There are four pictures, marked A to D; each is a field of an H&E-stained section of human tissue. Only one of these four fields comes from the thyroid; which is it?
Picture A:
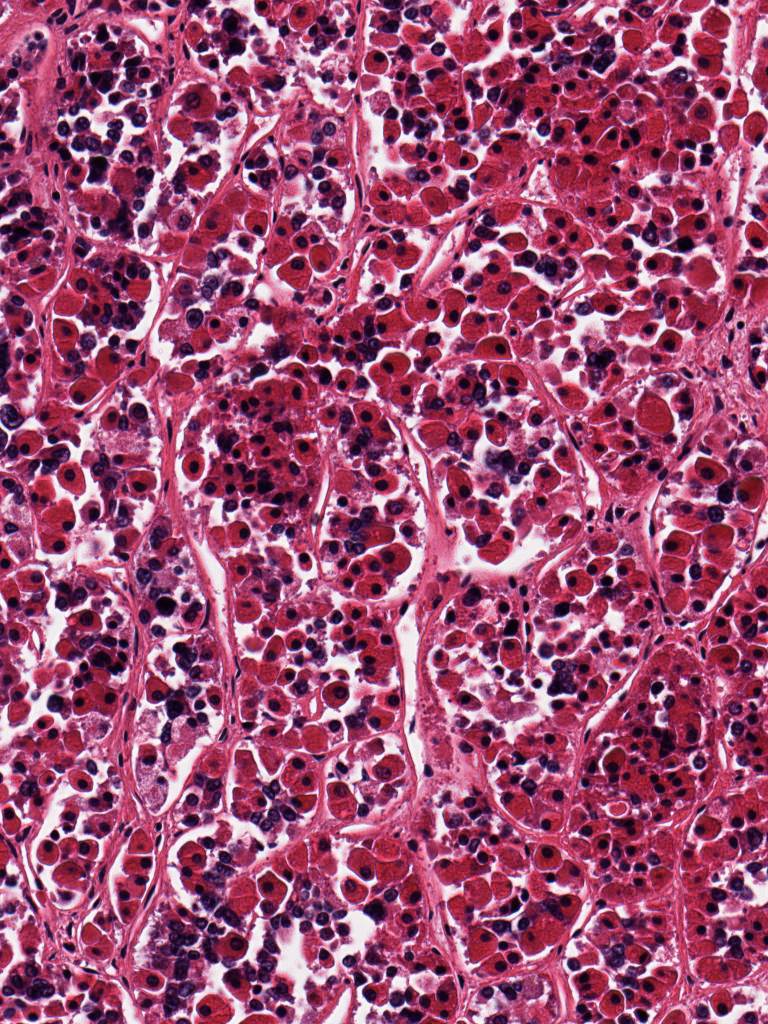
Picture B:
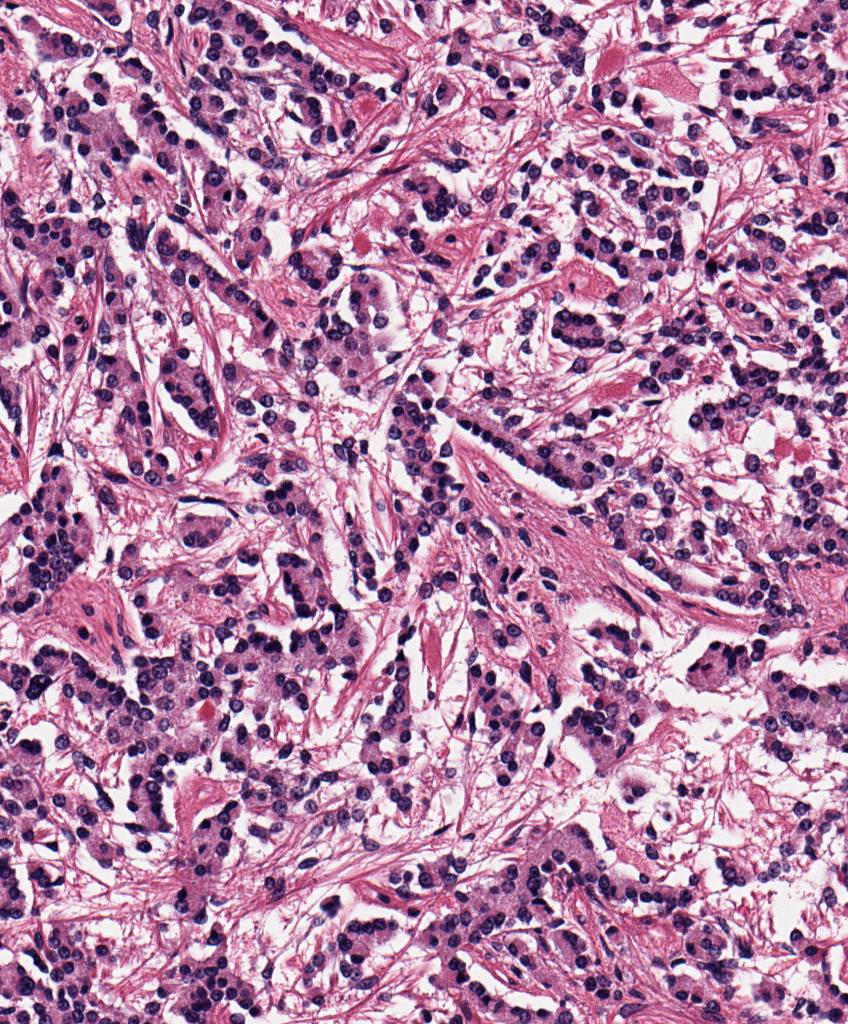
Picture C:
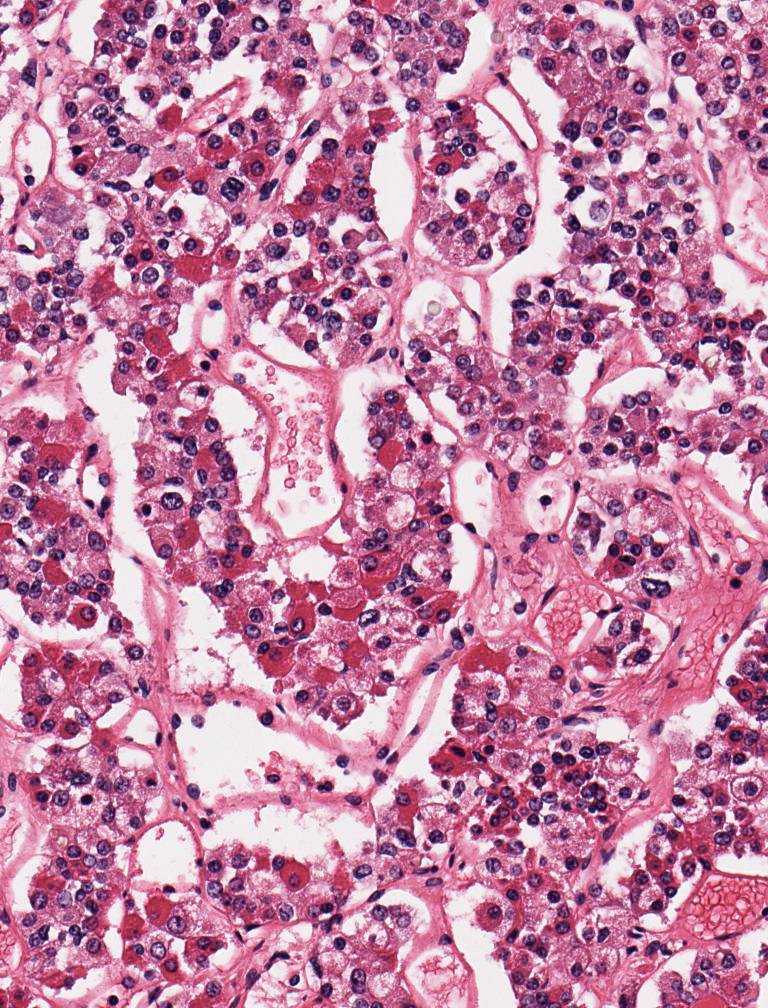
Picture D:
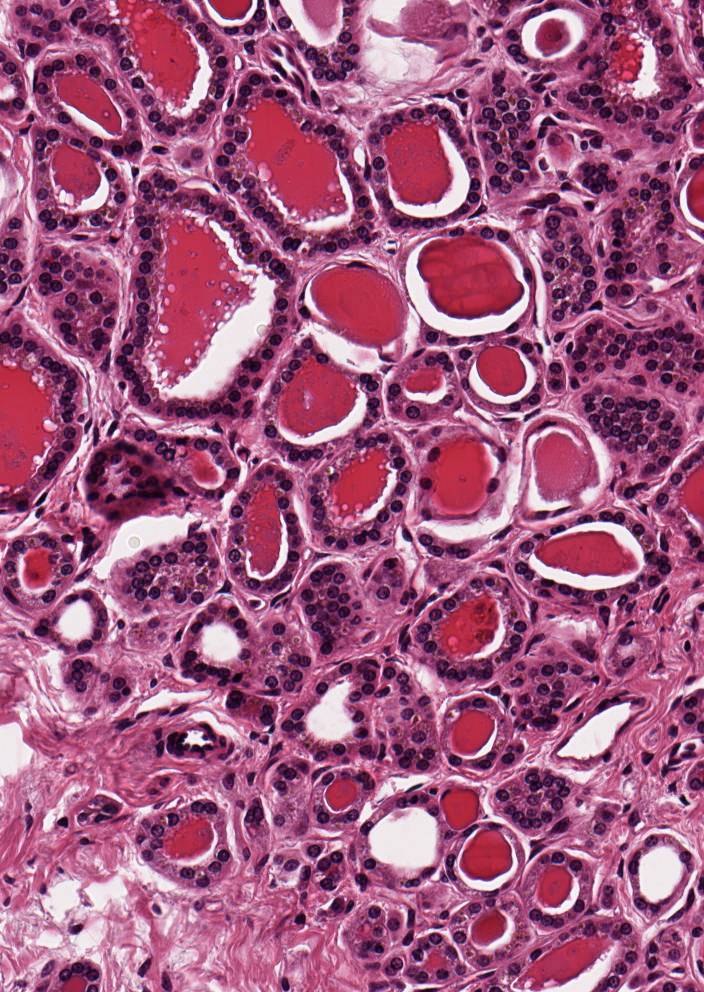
D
